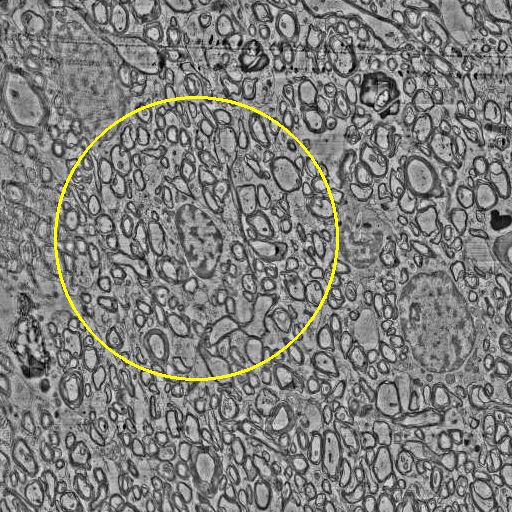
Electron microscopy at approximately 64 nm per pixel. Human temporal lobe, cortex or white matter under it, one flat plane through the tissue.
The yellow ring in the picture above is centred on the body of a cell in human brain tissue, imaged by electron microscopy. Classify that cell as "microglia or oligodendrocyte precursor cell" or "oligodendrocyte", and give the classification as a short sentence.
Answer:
The cell in the middle of the ring is a microglial cell or oligodendrocyte precursor cell.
